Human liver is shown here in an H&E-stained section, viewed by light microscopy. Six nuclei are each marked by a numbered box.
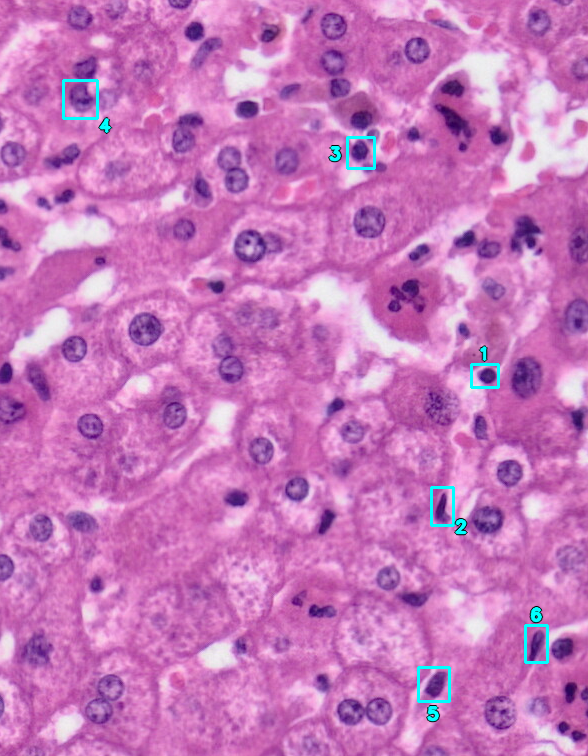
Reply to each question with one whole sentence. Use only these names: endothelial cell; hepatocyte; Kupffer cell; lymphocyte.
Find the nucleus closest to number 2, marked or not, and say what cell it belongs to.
It is a hepatocyte whose nucleus is nearest to number 2.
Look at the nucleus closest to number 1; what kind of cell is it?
Number 1 lies closest to the nucleus of a Kupffer cell.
